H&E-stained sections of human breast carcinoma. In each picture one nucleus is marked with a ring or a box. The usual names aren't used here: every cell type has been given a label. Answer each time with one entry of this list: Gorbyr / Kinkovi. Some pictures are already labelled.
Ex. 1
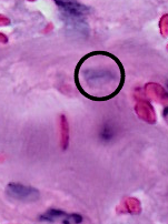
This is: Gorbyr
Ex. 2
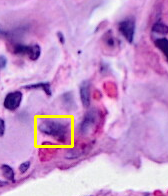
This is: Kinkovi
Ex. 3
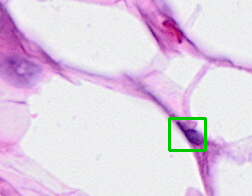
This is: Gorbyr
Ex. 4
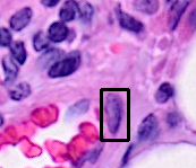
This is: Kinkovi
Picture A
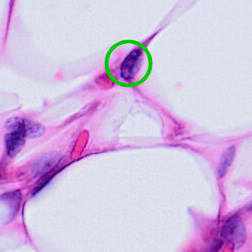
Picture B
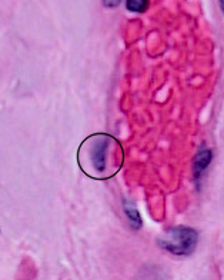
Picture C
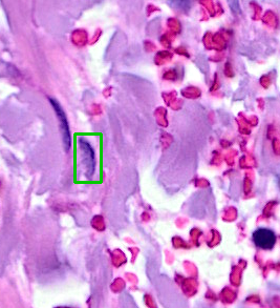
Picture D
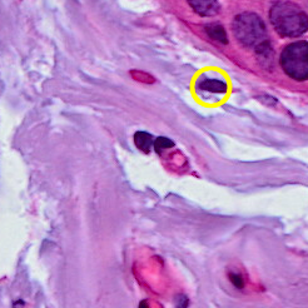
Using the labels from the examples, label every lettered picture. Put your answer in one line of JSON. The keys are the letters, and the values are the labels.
{"A": "Kinkovi", "B": "Kinkovi", "C": "Gorbyr", "D": "Gorbyr"}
